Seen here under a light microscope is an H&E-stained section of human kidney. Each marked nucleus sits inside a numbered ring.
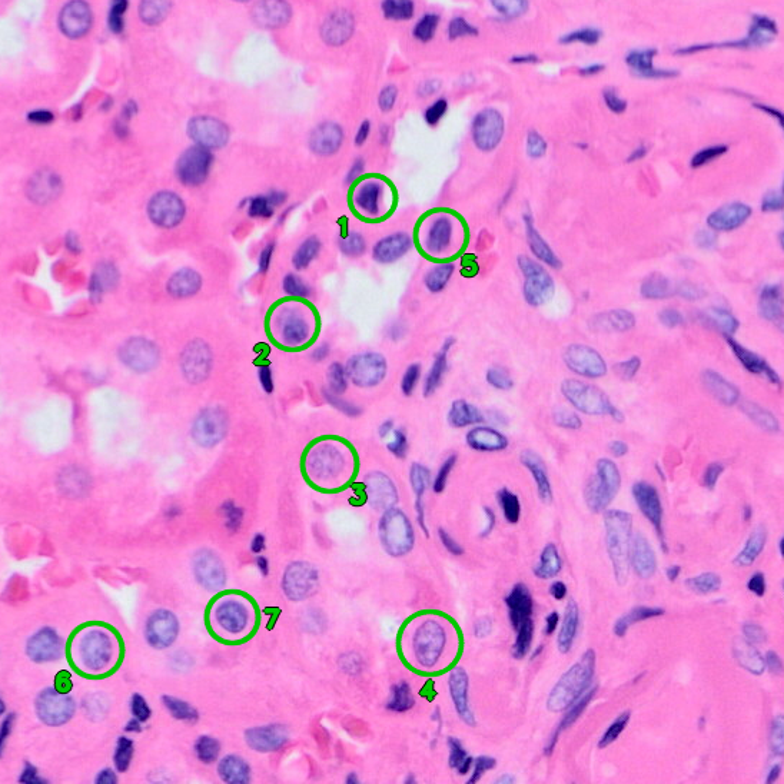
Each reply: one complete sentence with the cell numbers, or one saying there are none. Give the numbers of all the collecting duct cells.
The cells shown with numbers 1, 2, 5 and 7 are collecting duct cells.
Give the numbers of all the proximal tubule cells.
When it comes to cells 3 and 4, they are proximal tubule cells.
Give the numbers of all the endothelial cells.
None of the numbered cells are endothelial cells.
